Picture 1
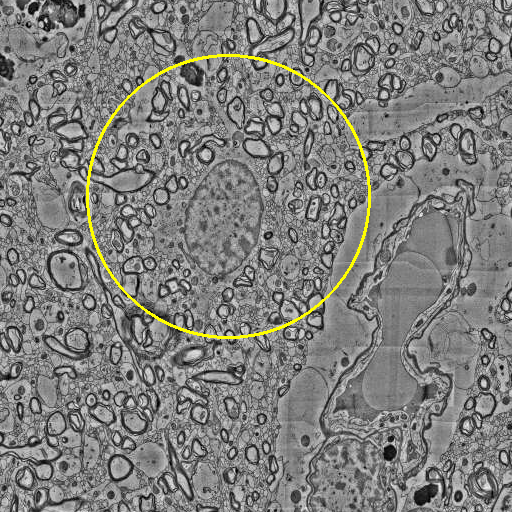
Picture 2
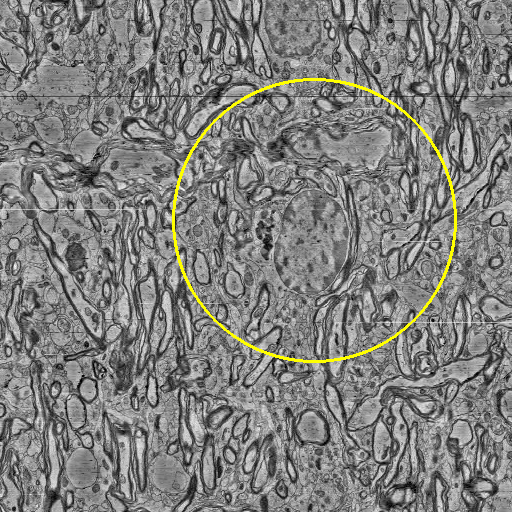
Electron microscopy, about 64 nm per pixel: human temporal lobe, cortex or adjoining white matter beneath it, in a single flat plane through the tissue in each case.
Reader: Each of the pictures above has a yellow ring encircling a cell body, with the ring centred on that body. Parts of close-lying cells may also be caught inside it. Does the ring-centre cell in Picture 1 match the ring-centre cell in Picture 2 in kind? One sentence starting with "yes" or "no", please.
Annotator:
No, Picture 1 and Picture 2 show ring-centre cells of two kinds.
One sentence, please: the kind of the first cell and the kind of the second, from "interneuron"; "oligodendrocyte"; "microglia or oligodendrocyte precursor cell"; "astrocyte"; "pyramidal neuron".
The ring in the first picture surrounds an oligodendrocyte, and the ring in the second surrounds a microglial cell or oligodendrocyte precursor cell.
